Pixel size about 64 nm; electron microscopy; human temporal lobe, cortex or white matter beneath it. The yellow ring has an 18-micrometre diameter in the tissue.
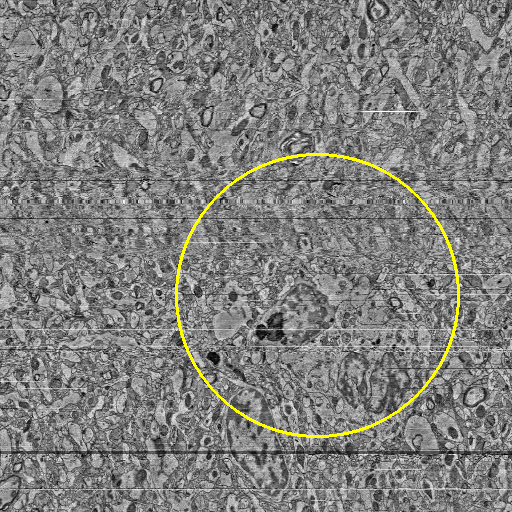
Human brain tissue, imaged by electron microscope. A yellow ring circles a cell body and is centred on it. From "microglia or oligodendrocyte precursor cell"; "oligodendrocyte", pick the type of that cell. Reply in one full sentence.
The cell body at the centre of the yellow ring belongs to an oligodendrocyte.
